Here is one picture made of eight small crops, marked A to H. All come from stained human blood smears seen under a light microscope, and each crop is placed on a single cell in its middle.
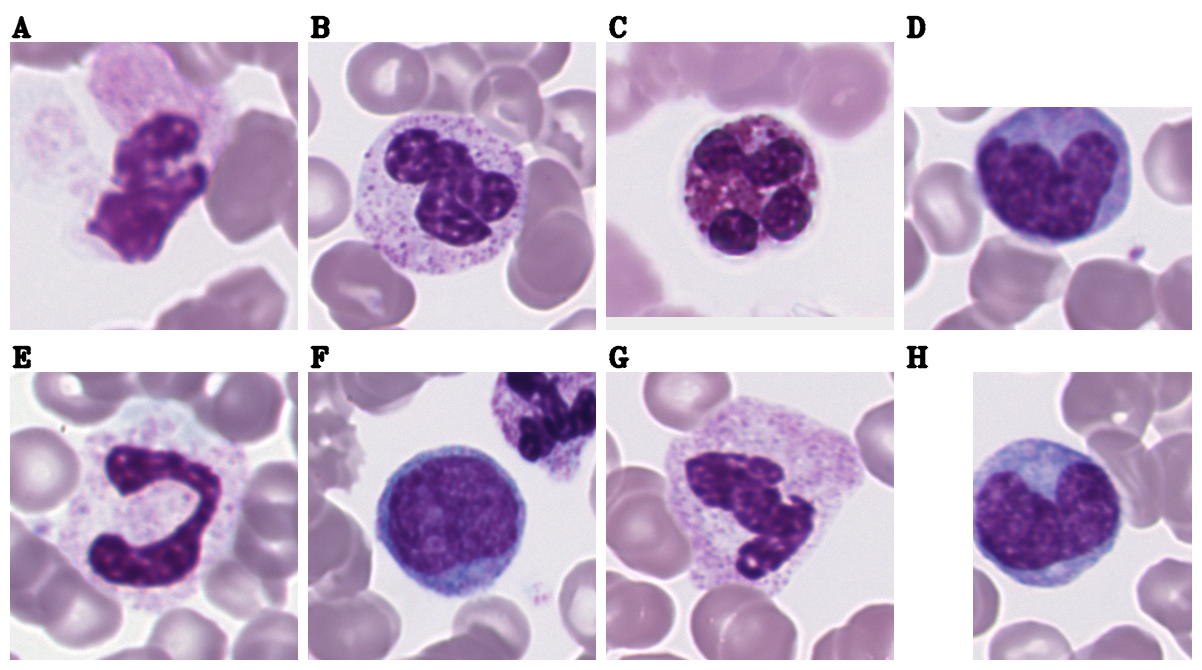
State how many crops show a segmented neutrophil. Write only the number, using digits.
4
